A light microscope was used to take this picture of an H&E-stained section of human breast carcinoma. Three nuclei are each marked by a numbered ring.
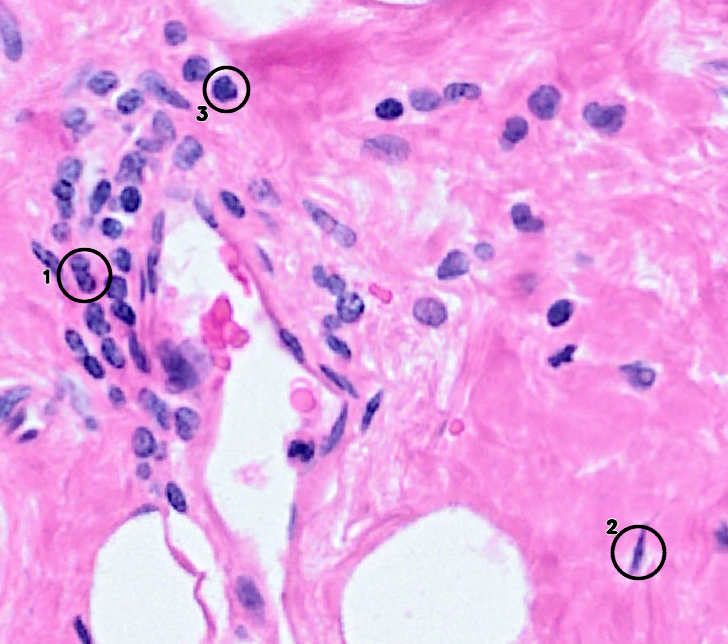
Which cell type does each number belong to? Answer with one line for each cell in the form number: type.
1: lymphocyte
2: fibroblast
3: lymphocyte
